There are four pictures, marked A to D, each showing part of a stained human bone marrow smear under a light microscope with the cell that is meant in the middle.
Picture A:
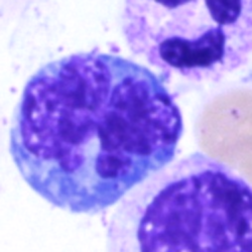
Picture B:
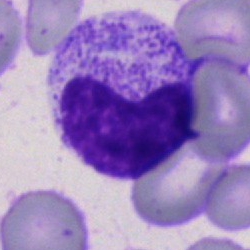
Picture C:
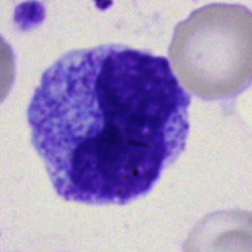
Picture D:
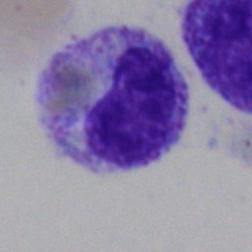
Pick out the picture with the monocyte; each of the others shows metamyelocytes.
A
